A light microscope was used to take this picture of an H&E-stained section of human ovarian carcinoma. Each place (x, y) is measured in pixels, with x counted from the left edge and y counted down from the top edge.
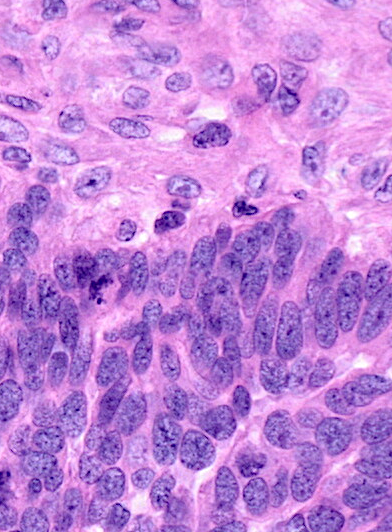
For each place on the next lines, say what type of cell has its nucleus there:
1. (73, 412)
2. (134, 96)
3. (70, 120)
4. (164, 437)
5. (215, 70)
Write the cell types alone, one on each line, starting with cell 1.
carcinoma cell
fibroblast
fibroblast
carcinoma cell
fibroblast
